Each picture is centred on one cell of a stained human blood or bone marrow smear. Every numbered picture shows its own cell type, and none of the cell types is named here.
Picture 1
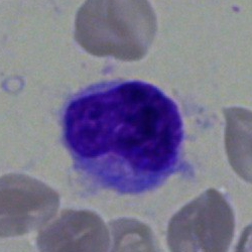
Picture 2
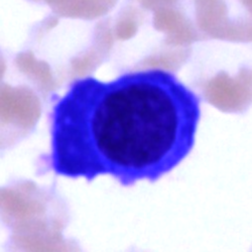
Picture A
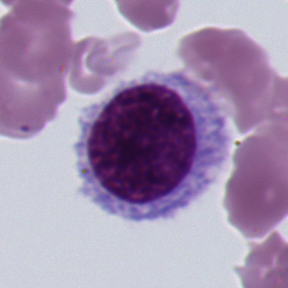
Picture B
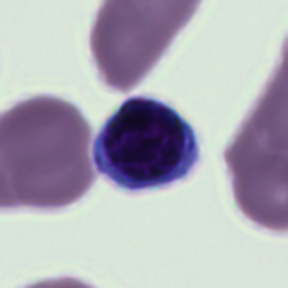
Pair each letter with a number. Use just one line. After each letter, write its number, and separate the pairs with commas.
A 1, B 2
